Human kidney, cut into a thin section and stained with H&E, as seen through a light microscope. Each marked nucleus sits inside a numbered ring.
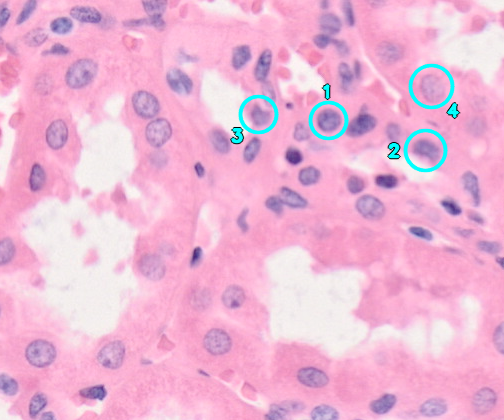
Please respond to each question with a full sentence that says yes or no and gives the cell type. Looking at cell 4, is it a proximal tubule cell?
Yes, the marked cell number 4 is a proximal tubule cell.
